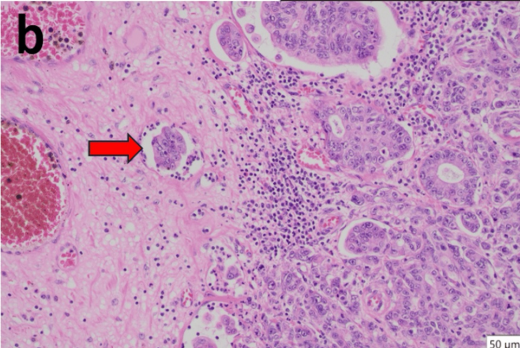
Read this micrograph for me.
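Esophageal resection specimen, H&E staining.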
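This is a tubular adenocarcinoma infiltrating the wall, seen next to a small vessel. On the right, atypical epithelial cells with large, vesicular nuclei and prominent nucleoli form irregular glands and solid nests, surrounded by a band of small dark lymphocytes. On the left, loose pink fibrous stroma holds a blood vessel packed with red cells. Within this stroma a small, thin-walled channel contains a tight cluster of tumor cells floating free in its lumen, the picture of tumor cells that have entered a lymphatic vessel.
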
